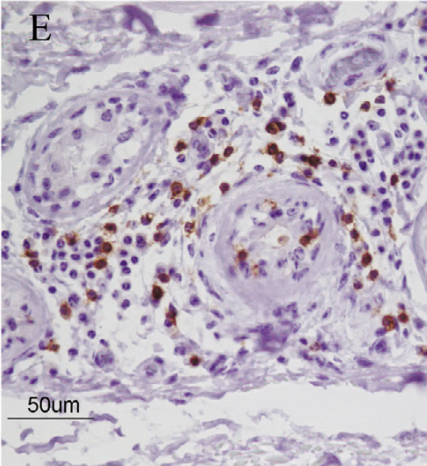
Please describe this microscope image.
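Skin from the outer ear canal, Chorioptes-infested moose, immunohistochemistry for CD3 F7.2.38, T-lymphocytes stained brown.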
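This is deeper dermis with an inflammatory infiltrate around blood vessels. Several vessels are cut across, seen as rounded profiles with walls made of layered pale cells and blue nuclei. Around and between them lie many small round cells. The brown cells gather most thickly in the tissue around the central vessel, with a few inside its wall.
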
